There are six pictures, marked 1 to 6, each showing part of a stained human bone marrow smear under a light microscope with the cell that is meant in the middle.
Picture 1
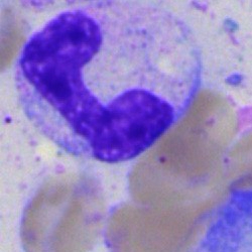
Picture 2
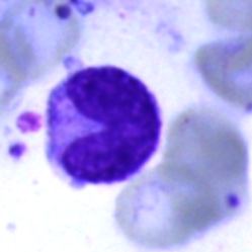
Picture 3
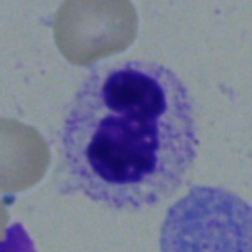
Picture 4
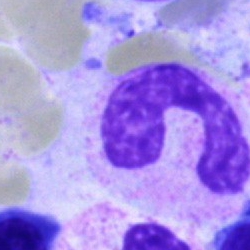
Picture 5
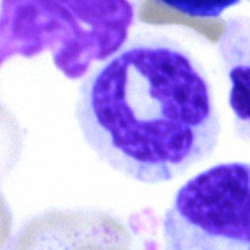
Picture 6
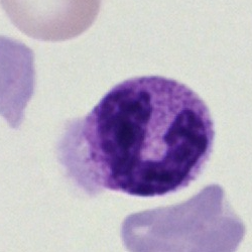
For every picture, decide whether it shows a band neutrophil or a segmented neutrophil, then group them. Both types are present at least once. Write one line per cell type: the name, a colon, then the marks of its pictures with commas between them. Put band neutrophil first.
band neutrophil: 1, 2, 3, 4
segmented neutrophil: 5, 6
